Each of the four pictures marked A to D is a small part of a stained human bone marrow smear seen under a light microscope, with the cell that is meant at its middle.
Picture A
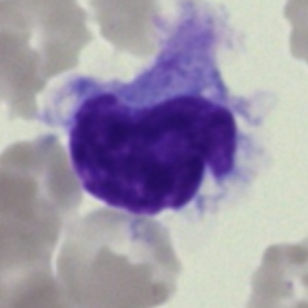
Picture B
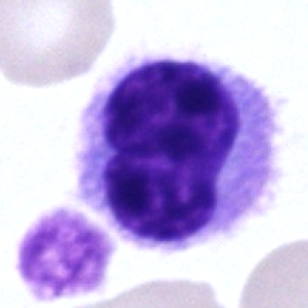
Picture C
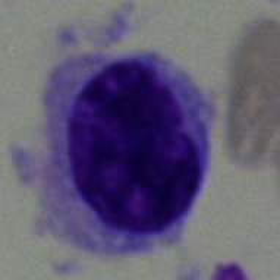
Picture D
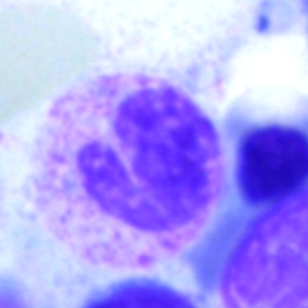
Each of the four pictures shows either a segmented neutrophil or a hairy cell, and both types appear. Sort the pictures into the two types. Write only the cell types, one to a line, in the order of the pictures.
hairy cell
hairy cell
hairy cell
segmented neutrophil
